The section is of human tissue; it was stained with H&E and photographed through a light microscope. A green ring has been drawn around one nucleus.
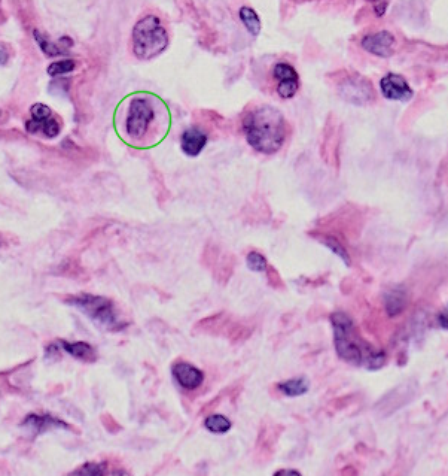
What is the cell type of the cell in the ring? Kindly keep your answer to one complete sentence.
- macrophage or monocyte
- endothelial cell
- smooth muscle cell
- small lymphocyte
Among the cells in this section, the cell in the ring is a macrophage or monocyte.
